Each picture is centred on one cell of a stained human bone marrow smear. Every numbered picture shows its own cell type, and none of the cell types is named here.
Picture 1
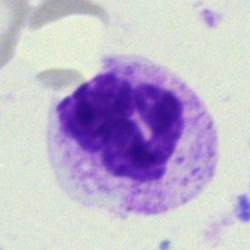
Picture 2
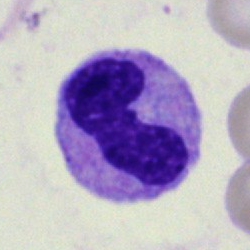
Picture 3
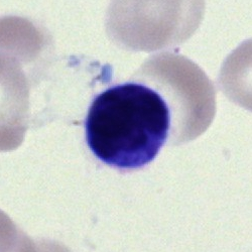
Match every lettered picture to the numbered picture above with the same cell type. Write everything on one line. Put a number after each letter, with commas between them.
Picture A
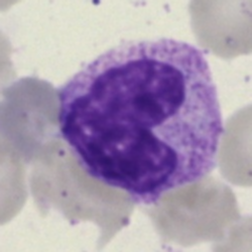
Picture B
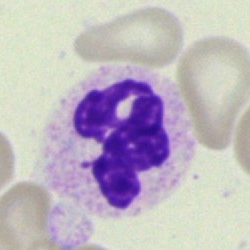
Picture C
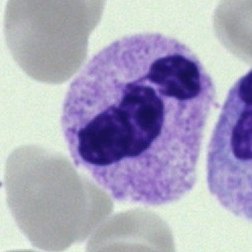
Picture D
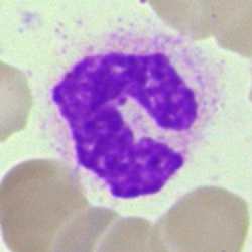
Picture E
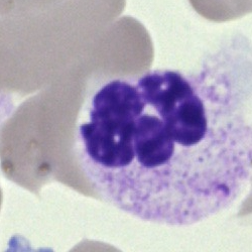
A 2, B 1, C 1, D 2, E 1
